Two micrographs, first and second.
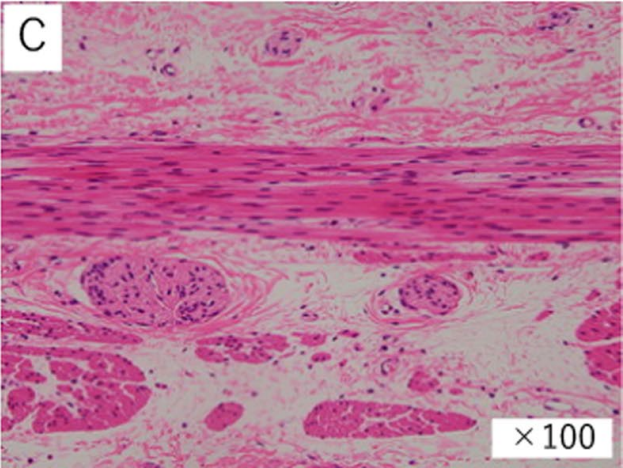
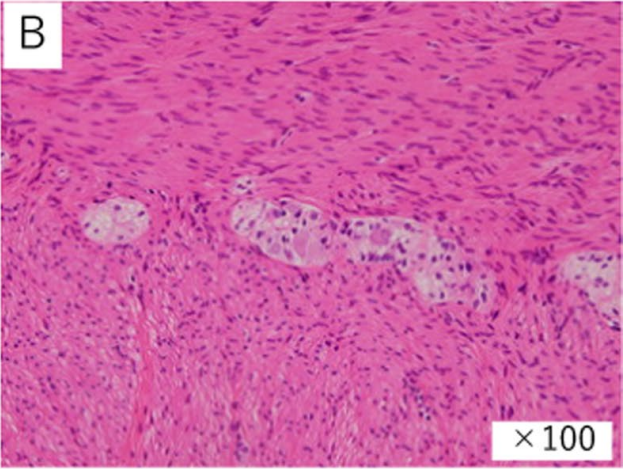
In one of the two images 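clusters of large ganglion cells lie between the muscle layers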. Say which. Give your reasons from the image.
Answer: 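First image: only small nerve bundles and muscle in loose connective tissue, no large pale cells. Second image: a row of clusters of large cells with pale cytoplasm and round nuclei between layers of spindle cells.
Answer: the second image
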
